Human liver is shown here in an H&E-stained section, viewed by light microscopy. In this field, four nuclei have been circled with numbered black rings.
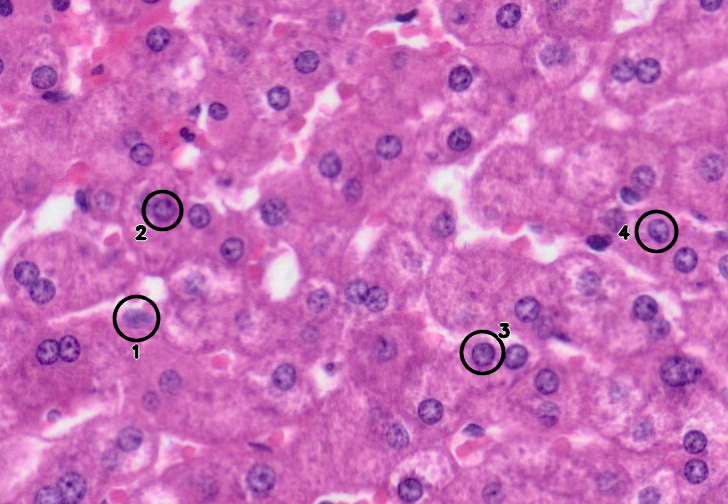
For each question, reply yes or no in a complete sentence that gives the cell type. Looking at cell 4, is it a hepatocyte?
Yes, number 4 in this section denotes a hepatocyte.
